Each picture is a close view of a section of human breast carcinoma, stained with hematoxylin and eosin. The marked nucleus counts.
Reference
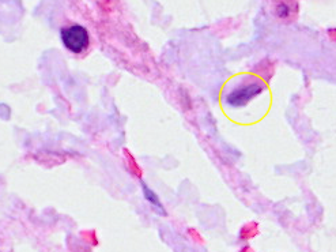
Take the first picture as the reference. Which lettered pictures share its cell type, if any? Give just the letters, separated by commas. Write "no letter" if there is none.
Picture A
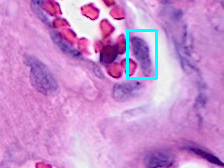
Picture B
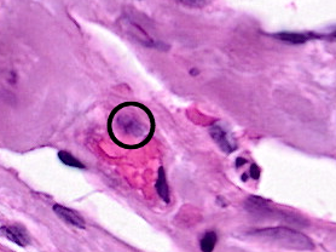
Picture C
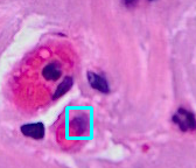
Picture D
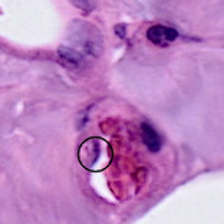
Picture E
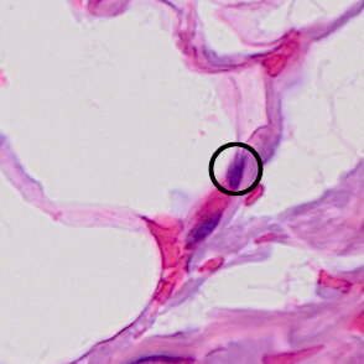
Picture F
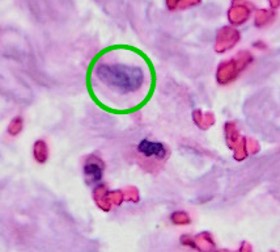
F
